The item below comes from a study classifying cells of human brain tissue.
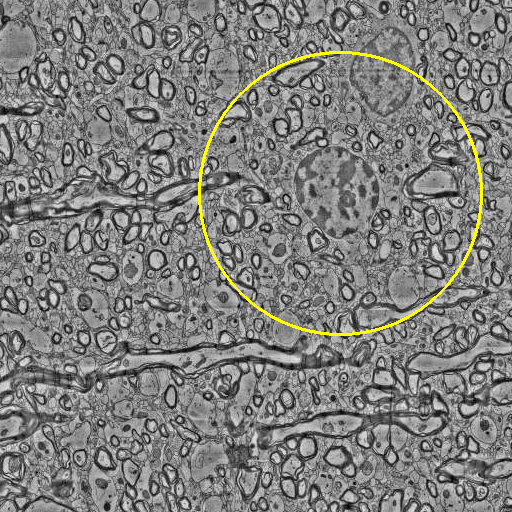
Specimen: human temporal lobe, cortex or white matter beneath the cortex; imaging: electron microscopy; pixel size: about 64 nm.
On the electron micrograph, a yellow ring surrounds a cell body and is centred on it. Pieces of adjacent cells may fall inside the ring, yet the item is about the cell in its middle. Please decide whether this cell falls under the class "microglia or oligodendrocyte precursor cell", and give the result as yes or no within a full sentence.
Yes, the cell at the middle of the ring on the micrograph belongs in that class.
